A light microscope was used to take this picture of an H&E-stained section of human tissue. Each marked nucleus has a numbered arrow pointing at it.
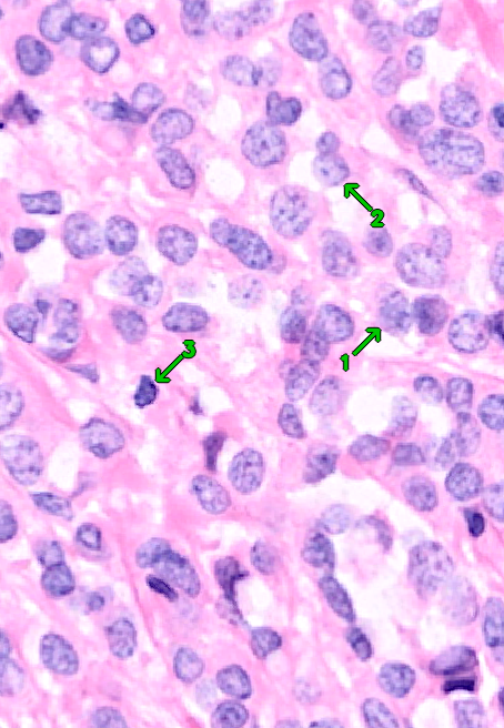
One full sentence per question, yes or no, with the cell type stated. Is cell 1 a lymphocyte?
No, number 1 does not mark a lymphocyte; it marks a carcinoma cell.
